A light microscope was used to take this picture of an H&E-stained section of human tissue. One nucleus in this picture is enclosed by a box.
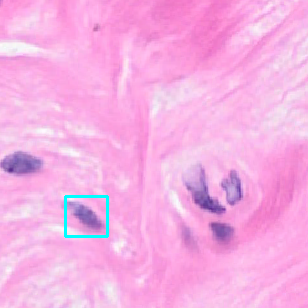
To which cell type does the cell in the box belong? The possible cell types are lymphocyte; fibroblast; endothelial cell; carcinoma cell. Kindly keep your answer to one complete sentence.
Recorded by type, the cell in the box is a fibroblast.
